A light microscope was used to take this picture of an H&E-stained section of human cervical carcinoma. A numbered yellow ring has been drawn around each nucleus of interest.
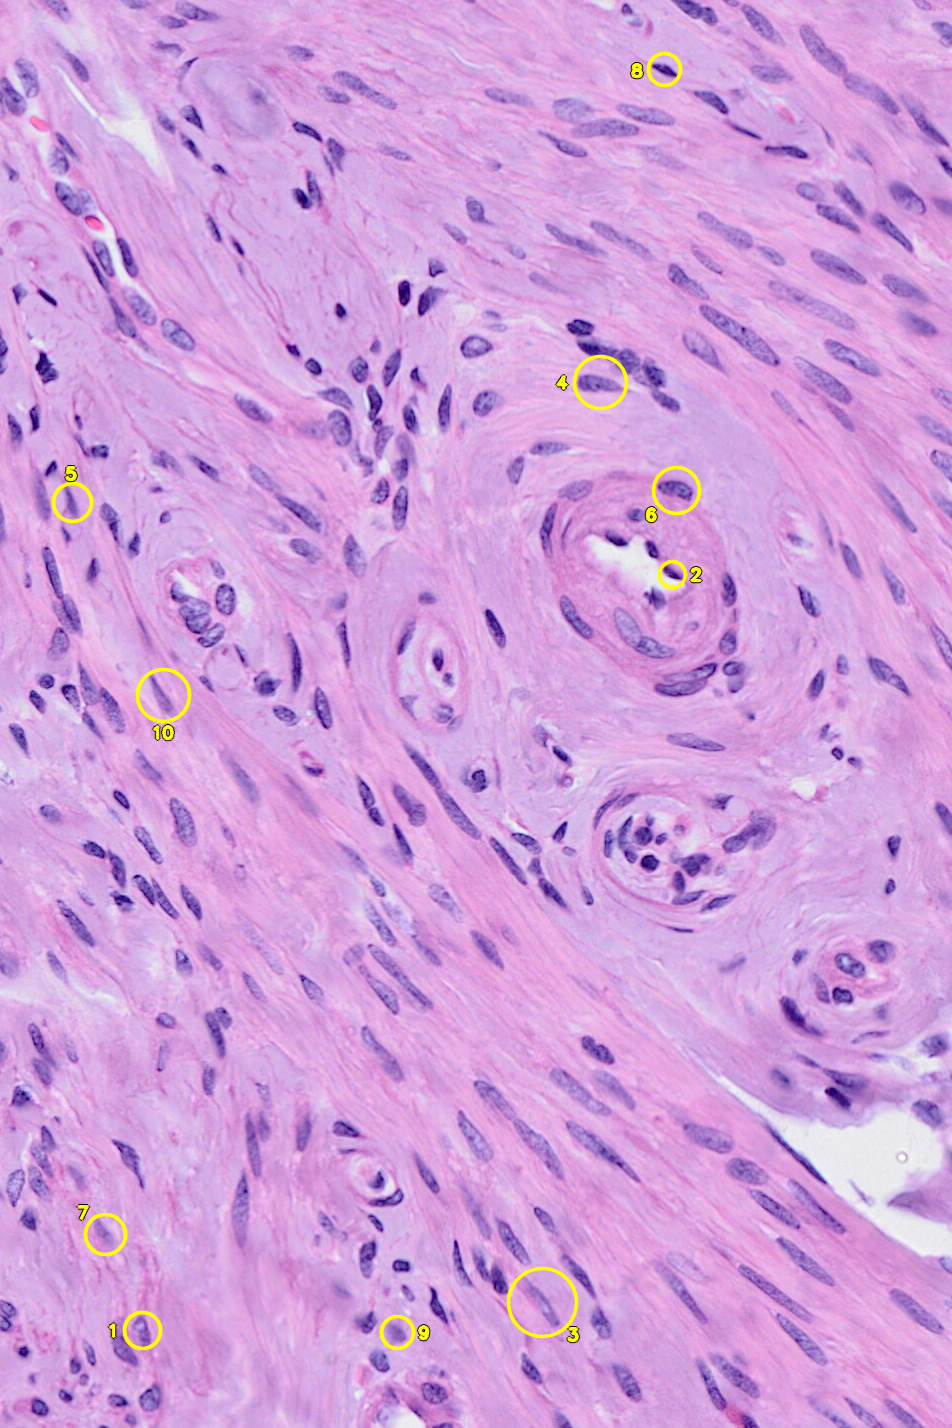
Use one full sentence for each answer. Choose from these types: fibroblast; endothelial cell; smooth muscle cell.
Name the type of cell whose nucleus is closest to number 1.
The cell nearest to number 1 is a smooth muscle cell.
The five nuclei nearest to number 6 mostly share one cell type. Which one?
The majority of the five nuclei closest to number 6 belong to endothelial cells.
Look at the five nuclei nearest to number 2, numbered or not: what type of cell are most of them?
Most of the five nuclei nearest to number 2 are those of endothelial cells.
